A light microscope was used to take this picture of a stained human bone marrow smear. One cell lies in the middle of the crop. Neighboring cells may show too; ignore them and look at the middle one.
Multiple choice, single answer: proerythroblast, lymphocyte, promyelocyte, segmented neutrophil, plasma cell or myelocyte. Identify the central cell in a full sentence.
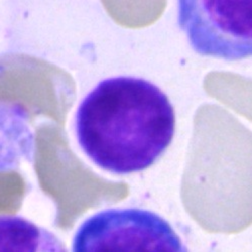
In the central position of this crop, the cell is a lymphocyte.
